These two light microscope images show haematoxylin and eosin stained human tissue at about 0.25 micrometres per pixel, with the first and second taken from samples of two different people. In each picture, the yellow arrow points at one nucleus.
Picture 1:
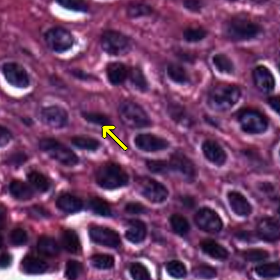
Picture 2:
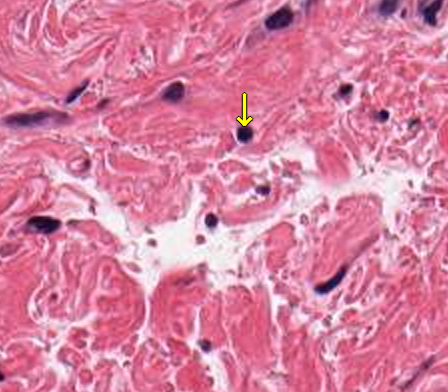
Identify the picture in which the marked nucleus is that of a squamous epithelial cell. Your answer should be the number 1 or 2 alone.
1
